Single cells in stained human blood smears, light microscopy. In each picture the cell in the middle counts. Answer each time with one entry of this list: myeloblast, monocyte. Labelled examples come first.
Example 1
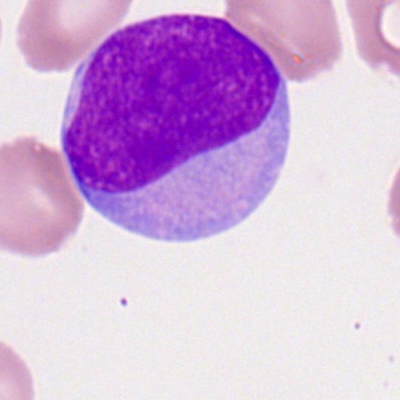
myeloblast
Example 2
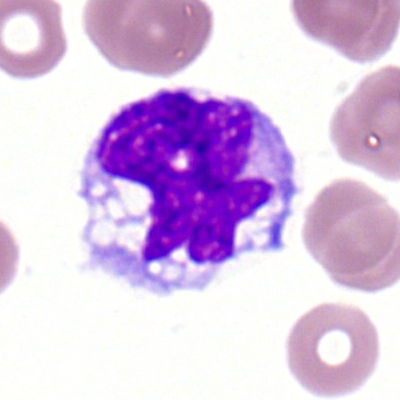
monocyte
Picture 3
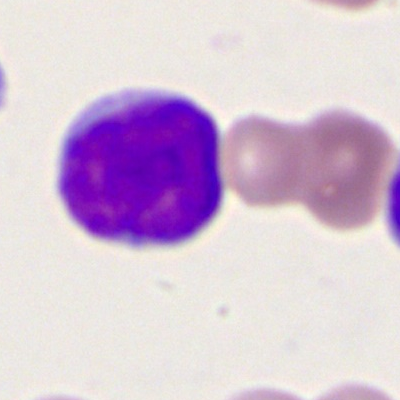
myeloblast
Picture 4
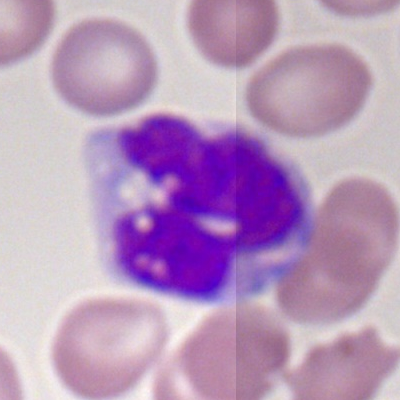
monocyte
